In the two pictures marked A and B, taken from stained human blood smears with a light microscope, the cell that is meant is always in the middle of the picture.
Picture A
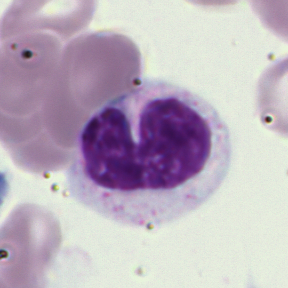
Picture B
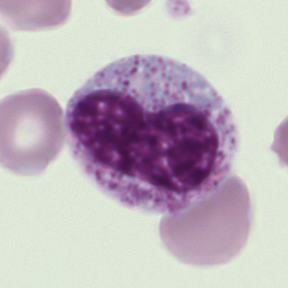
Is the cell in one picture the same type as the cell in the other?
yes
